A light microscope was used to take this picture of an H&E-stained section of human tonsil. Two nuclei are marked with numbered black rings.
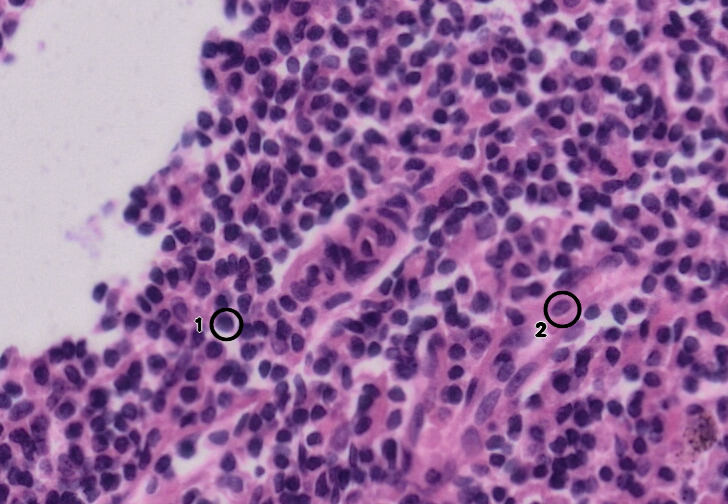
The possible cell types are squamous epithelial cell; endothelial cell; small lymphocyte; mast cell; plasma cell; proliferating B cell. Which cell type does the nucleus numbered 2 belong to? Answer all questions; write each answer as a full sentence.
The expected answer is that cell 2 is an endothelial cell.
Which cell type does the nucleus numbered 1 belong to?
Among the marked nuclei, number 1 belongs to a small lymphocyte.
